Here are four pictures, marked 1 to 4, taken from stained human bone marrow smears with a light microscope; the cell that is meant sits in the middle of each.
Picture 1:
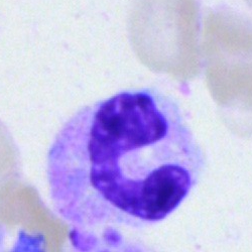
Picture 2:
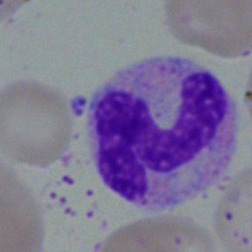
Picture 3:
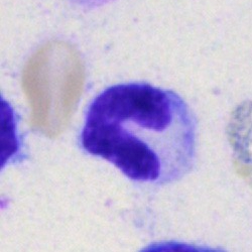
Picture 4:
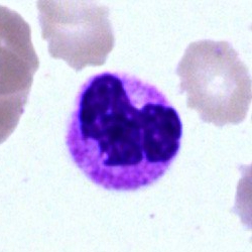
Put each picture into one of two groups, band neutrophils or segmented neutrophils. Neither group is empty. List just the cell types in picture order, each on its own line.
band neutrophil
band neutrophil
band neutrophil
segmented neutrophil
